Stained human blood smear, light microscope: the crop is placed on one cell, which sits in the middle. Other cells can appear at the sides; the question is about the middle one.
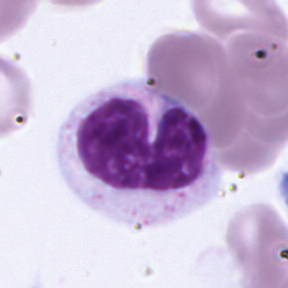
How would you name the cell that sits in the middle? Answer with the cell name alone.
band neutrophil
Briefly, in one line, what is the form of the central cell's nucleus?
There is one compact nucleus, and its shape is round, oval or kidney-like.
